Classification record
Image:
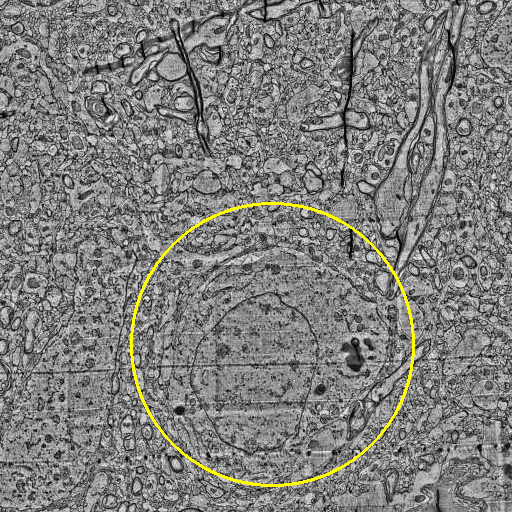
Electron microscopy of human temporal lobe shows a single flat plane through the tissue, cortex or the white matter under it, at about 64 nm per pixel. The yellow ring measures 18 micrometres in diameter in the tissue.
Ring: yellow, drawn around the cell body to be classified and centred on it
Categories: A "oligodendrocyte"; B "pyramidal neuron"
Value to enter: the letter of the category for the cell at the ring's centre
B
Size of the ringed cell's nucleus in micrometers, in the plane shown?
Approximately 10 by 8 micrometers in this plane.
